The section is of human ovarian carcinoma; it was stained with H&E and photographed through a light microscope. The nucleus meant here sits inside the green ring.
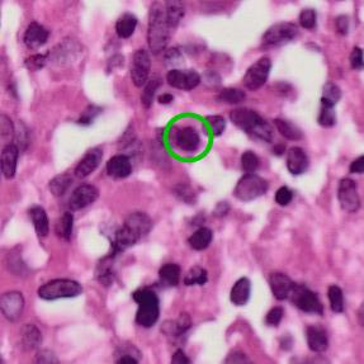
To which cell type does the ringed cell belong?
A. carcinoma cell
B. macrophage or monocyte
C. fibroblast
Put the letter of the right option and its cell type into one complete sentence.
With the ringed cell being a carcinoma cell, option A is correct.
